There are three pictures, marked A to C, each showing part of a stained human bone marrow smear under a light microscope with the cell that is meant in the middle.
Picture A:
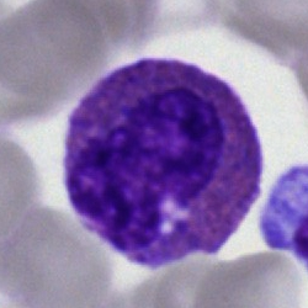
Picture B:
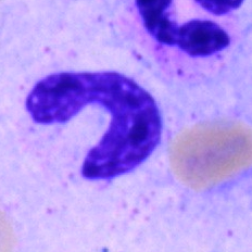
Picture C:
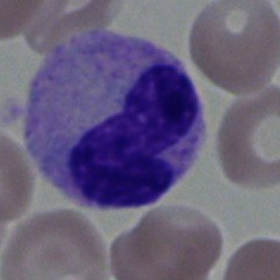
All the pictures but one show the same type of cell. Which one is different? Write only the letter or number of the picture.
A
